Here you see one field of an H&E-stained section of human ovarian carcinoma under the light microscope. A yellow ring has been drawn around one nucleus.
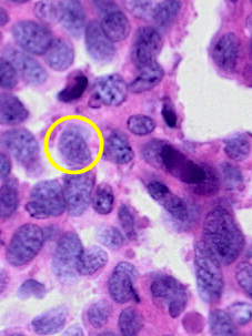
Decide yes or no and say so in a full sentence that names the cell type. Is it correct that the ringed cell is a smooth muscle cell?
No, that is wrong: the ringed cell is a carcinoma cell, not a smooth muscle cell.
